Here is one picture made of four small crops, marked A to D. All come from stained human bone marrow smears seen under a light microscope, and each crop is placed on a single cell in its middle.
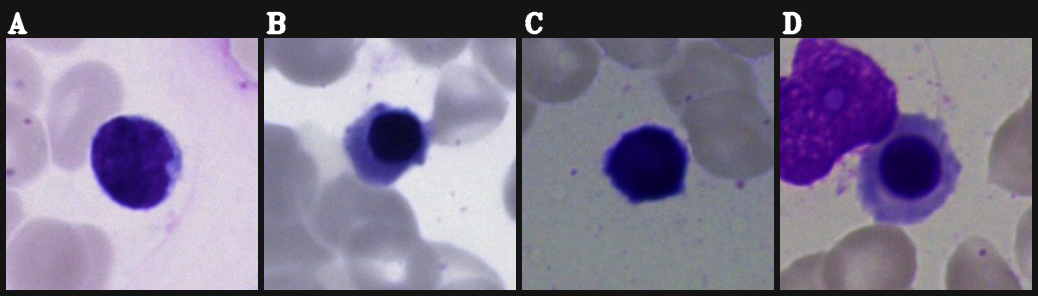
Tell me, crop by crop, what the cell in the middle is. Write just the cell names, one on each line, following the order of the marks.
lymphocyte
erythroblast
lymphocyte
erythroblast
